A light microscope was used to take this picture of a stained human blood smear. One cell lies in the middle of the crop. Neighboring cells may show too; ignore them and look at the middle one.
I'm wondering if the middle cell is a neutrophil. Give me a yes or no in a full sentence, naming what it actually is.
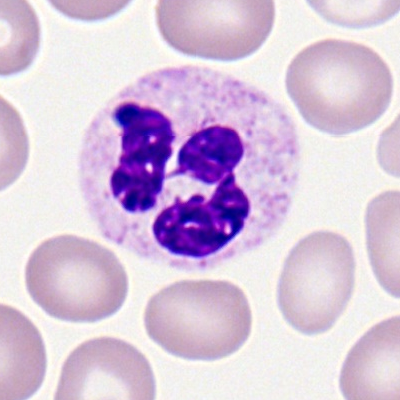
Yes, the identity of the central cell is that of a neutrophil.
